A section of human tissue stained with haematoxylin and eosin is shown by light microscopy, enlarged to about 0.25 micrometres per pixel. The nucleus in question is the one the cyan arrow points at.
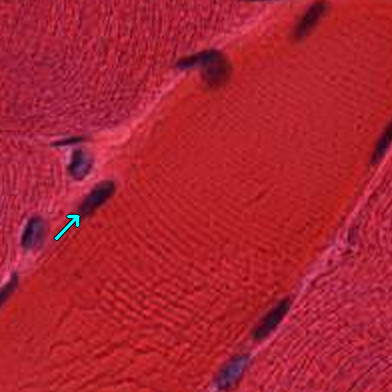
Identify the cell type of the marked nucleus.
skeletal muscle fibre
